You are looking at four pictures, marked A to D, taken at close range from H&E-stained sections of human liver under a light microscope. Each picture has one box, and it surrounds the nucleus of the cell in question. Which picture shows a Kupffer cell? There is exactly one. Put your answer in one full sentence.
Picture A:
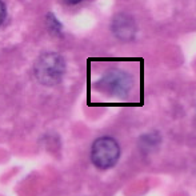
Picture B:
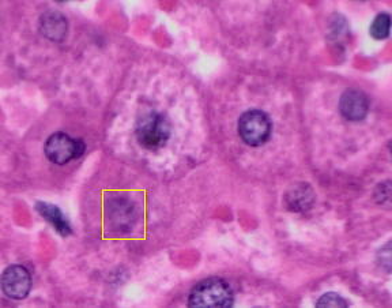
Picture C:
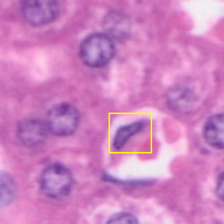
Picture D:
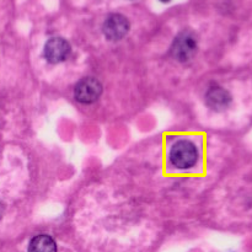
The cell in picture C is the Kupffer cell.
